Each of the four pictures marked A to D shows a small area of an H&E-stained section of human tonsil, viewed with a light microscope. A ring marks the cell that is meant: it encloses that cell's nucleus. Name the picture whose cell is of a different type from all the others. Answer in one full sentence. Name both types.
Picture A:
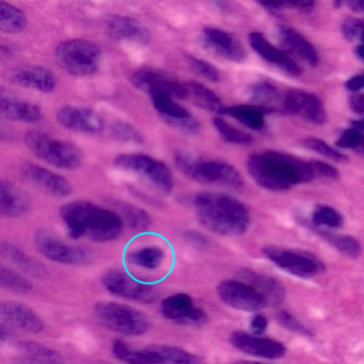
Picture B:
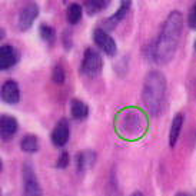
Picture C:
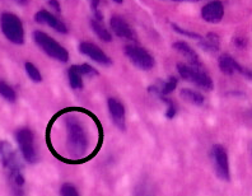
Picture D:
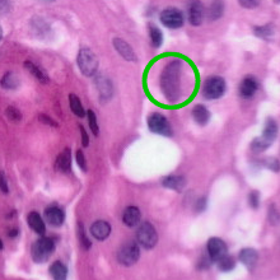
Picture B is the odd one out: it shows an endothelial cell, while the others show squamous epithelial cells.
